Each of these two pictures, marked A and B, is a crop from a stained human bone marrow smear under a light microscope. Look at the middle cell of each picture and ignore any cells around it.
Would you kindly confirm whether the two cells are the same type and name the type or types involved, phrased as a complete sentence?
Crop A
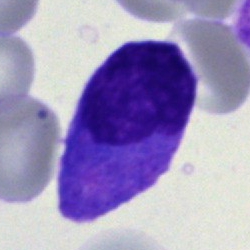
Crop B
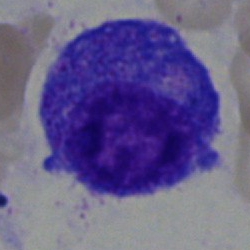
No, the cells are a blast in crop A and a promyelocyte in crop B.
